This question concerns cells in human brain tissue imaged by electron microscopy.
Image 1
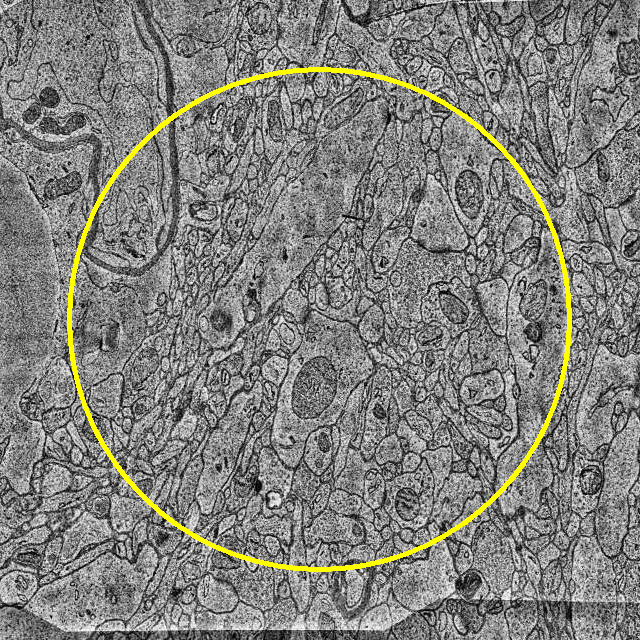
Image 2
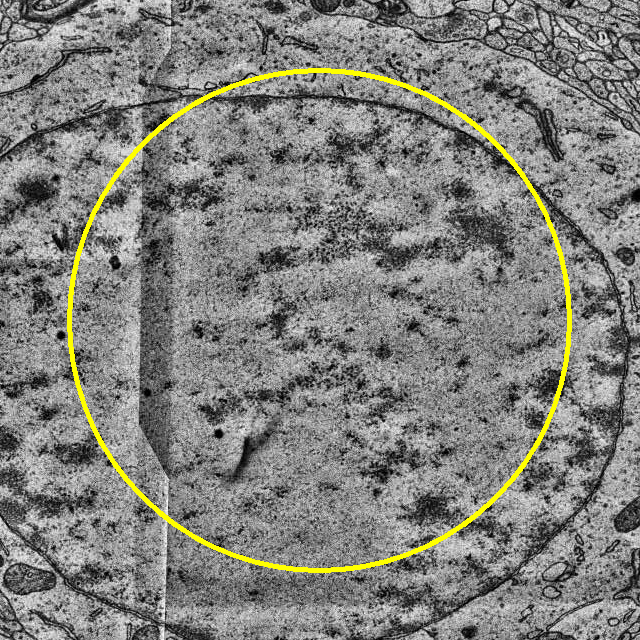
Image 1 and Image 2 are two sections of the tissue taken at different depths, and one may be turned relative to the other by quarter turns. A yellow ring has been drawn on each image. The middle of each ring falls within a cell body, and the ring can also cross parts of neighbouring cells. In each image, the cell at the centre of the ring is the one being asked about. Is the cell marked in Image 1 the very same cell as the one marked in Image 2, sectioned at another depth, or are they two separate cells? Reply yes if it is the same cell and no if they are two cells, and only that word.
yes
